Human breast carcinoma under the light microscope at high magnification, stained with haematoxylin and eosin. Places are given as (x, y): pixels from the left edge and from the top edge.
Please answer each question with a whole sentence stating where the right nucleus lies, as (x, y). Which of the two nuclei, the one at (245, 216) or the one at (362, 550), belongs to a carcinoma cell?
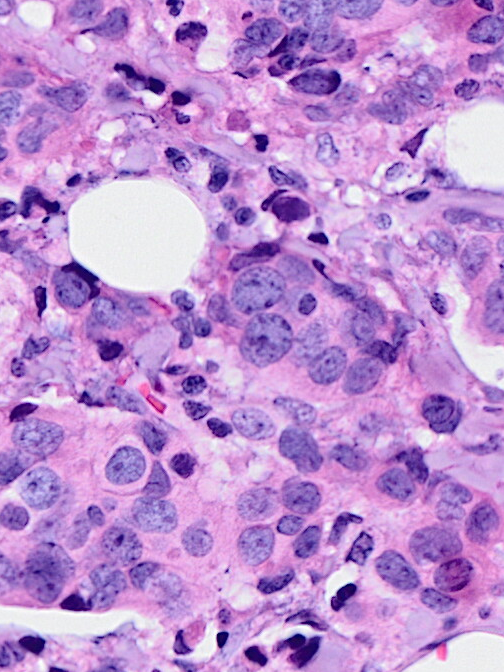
That would be the nucleus at (362, 550); it belongs to a carcinoma cell.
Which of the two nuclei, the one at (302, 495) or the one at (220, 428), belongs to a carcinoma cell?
Only the nucleus at (302, 495), of the two, belongs to a carcinoma cell.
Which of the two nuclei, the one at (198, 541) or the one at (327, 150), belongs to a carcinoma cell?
The cell to which the nucleus at (198, 541) belongs is a carcinoma cell.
